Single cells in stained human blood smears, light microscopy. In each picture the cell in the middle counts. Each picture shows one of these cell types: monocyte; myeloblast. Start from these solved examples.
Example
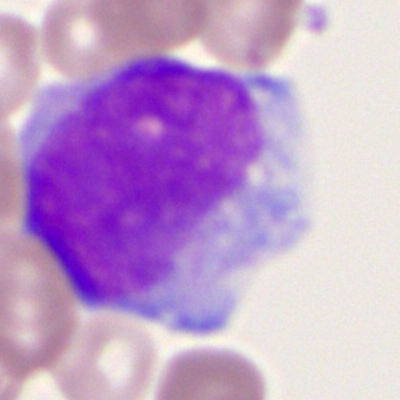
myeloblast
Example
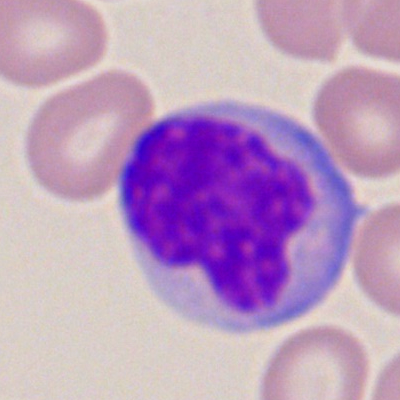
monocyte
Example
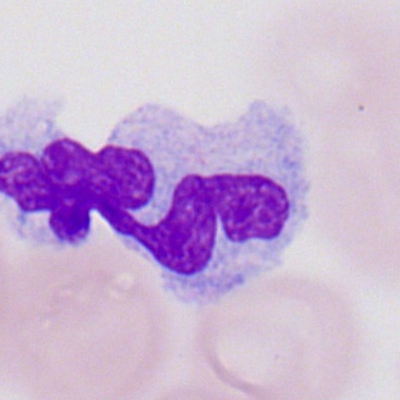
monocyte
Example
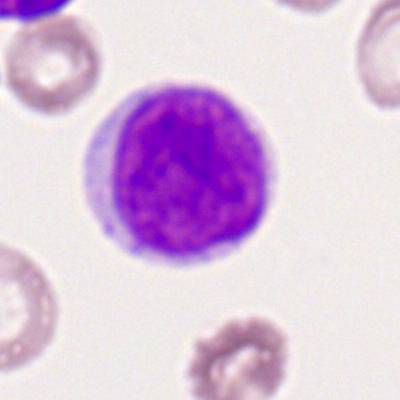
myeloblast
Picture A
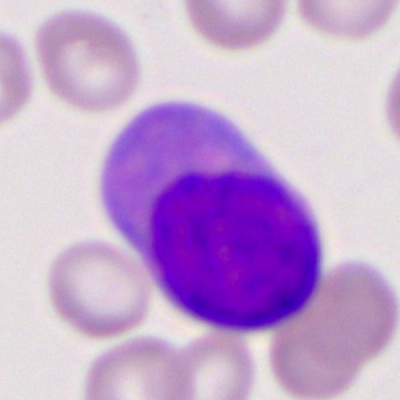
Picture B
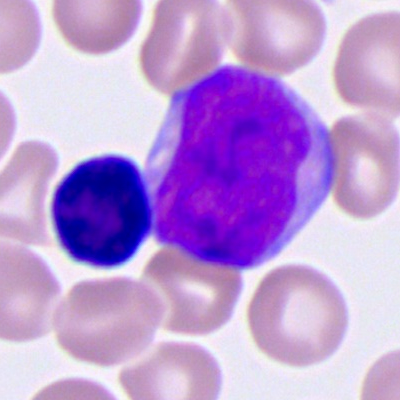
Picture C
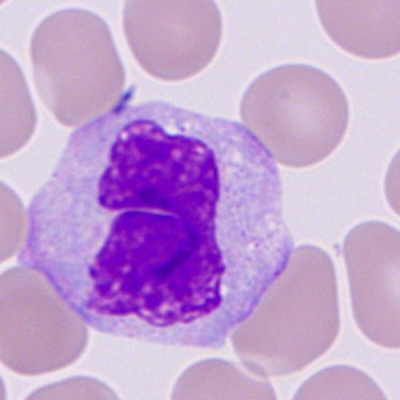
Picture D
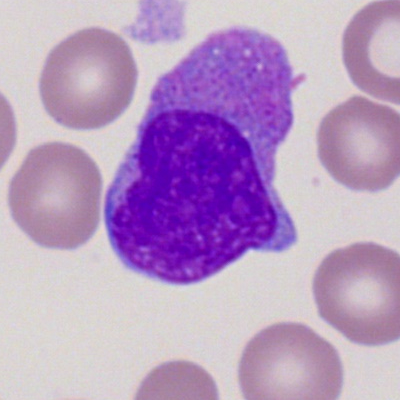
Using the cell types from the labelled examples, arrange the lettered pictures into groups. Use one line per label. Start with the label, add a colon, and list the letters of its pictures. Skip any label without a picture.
monocyte: C
myeloblast: A, B, D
